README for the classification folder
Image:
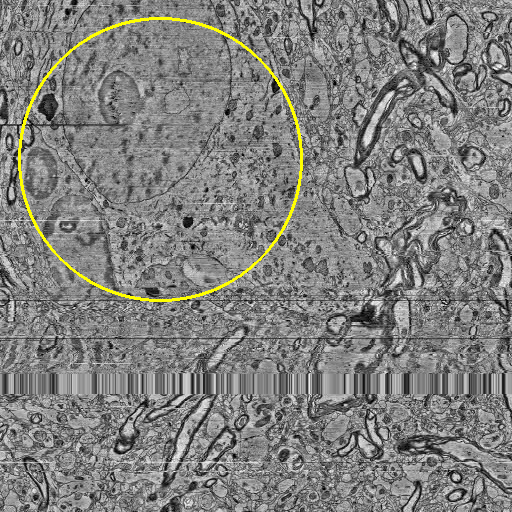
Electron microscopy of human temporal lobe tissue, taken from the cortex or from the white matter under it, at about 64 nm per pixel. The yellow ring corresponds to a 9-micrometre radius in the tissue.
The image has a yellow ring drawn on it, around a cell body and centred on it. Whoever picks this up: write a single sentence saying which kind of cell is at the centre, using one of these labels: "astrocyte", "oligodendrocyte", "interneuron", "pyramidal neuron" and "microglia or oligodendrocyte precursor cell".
This cell body is that of a pyramidal neuron.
